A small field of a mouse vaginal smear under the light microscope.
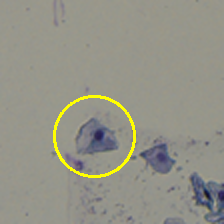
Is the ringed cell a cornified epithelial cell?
No, it is a nucleated epithelial cell.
